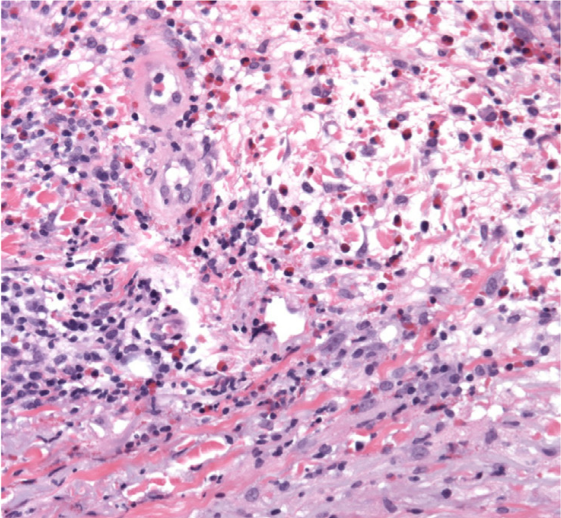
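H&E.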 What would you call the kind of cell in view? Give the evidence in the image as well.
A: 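Many cells with bright pink-red granular cytoplasm. They are scattered densely through loose pale stroma. That points to this answer: eosinophils.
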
